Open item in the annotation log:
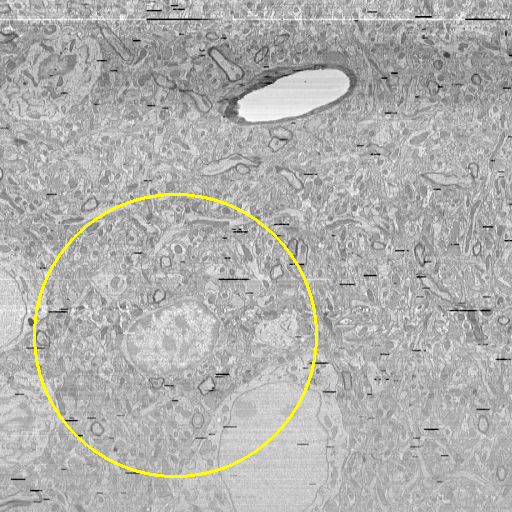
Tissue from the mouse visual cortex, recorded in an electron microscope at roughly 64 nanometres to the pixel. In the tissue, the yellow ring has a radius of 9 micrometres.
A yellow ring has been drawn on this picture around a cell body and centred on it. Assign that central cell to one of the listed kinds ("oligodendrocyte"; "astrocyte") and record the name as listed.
oligodendrocyte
